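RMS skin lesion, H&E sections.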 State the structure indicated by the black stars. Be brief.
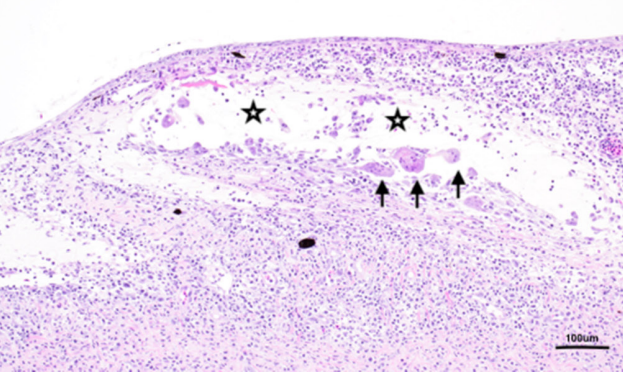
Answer: Scale pocket.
